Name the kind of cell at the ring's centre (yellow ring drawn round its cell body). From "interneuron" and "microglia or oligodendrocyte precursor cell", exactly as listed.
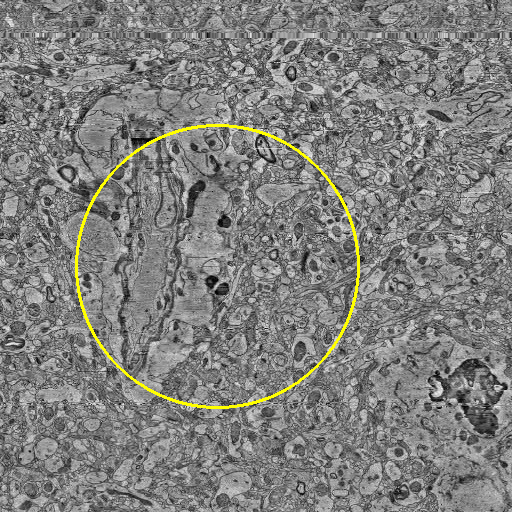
microglia or oligodendrocyte precursor cell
